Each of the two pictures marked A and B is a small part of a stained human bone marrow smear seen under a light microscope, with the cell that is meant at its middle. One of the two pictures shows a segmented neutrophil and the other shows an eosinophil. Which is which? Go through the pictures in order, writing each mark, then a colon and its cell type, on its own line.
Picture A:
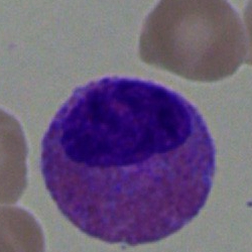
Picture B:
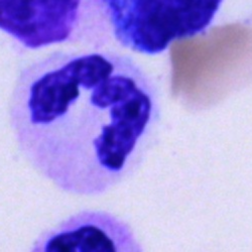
A: eosinophil
B: segmented neutrophil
